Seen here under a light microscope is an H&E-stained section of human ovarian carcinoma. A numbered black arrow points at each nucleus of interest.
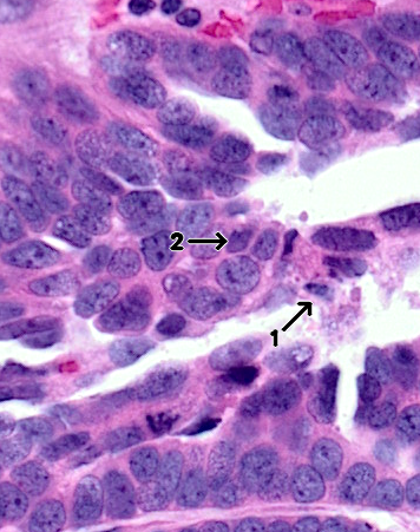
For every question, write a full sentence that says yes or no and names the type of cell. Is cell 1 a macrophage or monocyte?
Yes, the cell shown as number 1 is a macrophage or monocyte.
